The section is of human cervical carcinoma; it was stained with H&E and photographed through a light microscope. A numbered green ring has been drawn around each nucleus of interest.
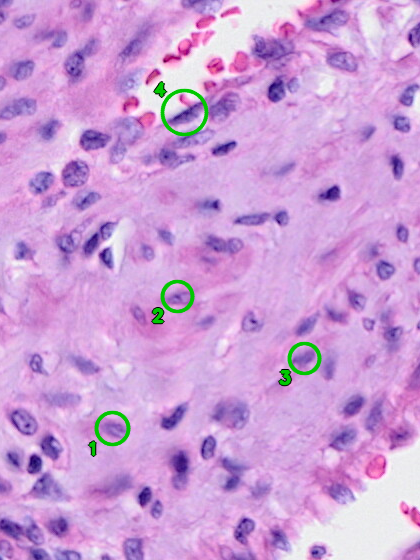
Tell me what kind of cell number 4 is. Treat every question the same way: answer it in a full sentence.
The cell that bears the number 4 is an endothelial cell.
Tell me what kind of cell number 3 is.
The cell assigned the number 3 is a smooth muscle cell.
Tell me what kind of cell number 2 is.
The nucleus with number 2 is that of a smooth muscle cell.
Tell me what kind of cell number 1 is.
The marked cell bearing number 1 is a smooth muscle cell.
